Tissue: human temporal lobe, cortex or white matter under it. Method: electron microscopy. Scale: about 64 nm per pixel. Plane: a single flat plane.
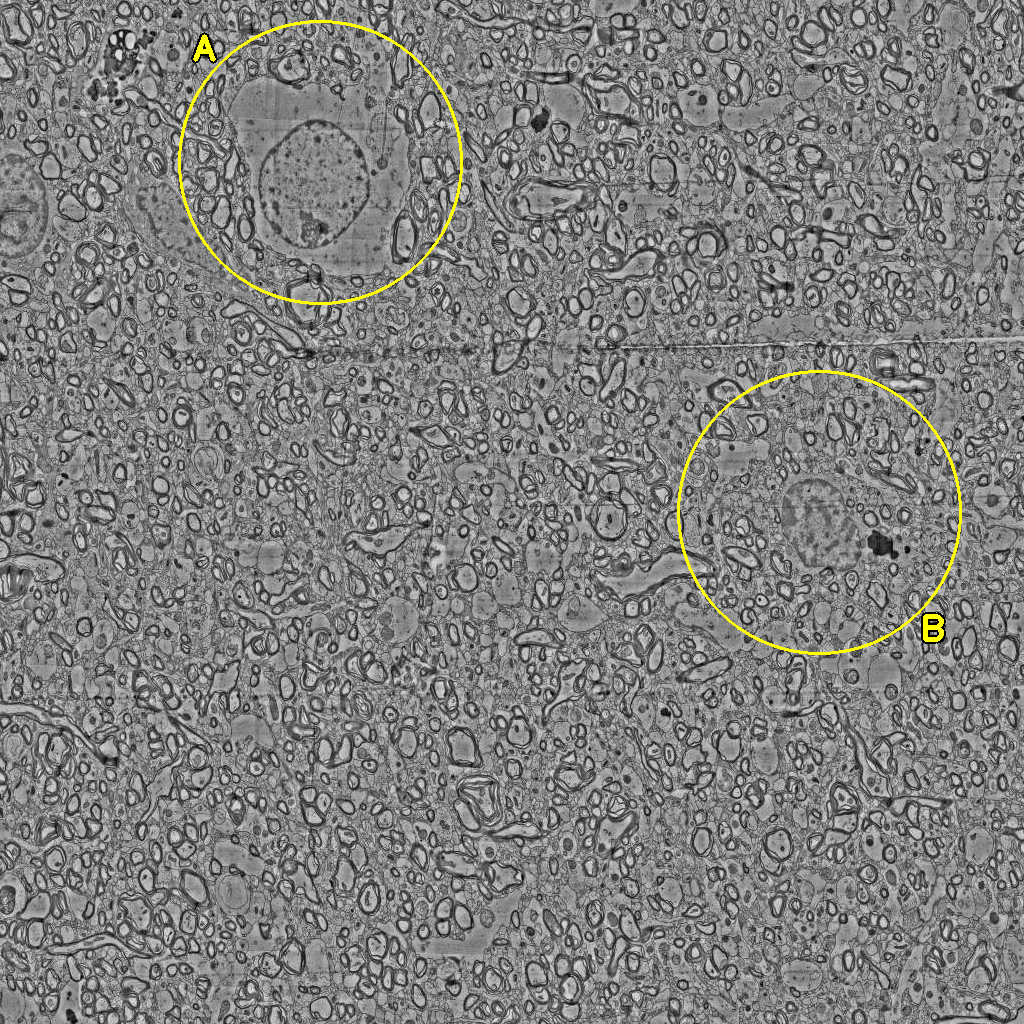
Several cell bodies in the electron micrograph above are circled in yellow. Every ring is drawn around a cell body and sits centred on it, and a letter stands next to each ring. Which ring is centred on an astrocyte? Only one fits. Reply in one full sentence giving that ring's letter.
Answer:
The ring centred on the cell asked for is Ring A.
